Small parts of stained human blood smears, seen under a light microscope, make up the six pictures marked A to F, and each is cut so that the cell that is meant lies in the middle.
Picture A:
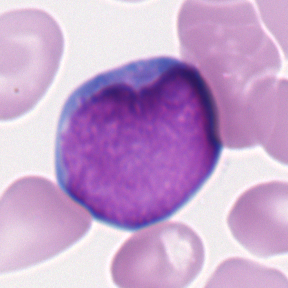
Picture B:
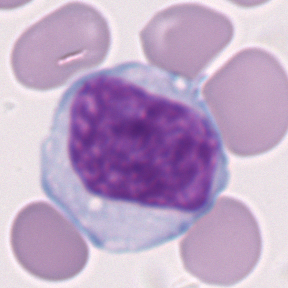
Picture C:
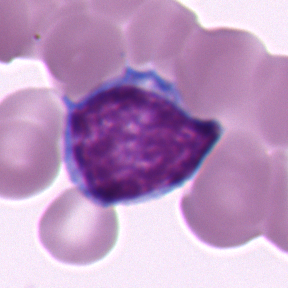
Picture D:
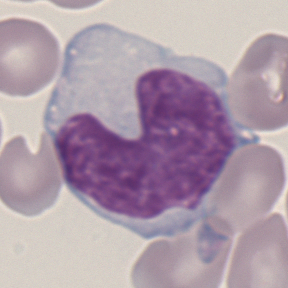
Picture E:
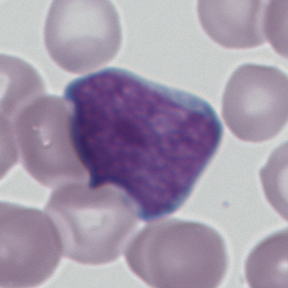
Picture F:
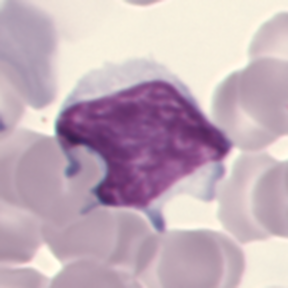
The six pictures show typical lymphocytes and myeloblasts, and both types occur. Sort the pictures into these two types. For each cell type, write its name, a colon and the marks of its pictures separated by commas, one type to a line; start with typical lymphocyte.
typical lymphocyte: C, F
myeloblast: A, B, D, E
